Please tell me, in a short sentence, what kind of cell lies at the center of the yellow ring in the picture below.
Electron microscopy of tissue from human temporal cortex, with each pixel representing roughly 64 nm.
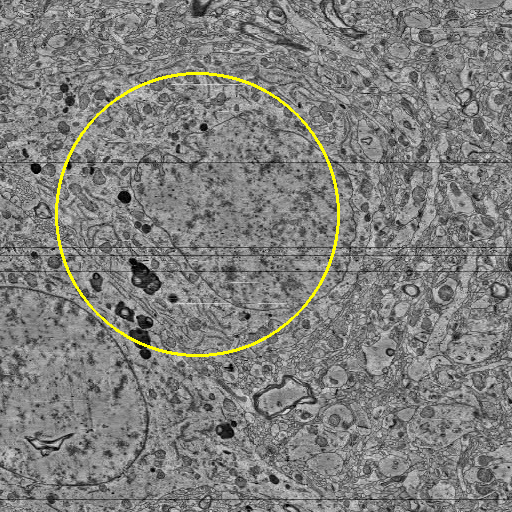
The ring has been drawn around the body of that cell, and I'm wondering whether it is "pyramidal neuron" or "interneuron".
The cell at the center of the ring is an interneuron.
